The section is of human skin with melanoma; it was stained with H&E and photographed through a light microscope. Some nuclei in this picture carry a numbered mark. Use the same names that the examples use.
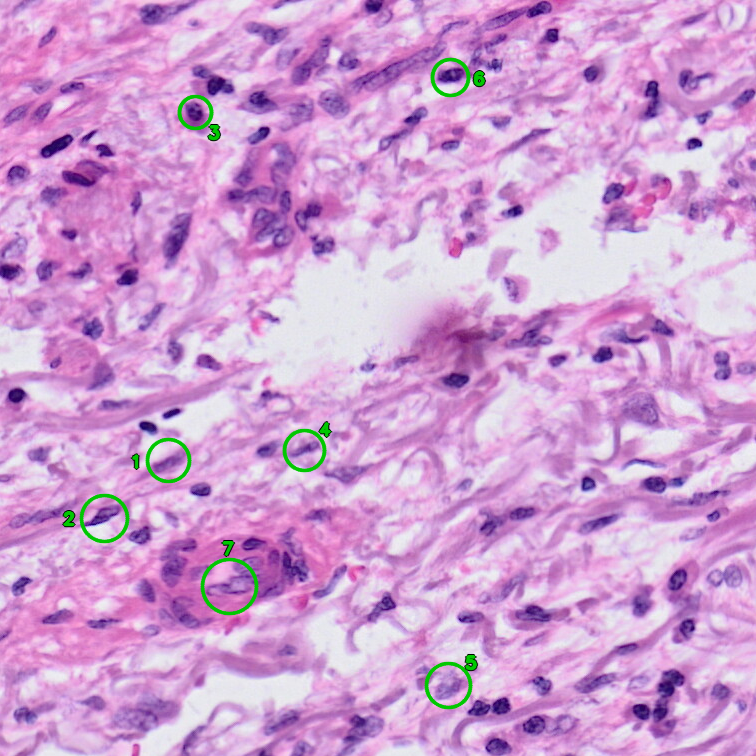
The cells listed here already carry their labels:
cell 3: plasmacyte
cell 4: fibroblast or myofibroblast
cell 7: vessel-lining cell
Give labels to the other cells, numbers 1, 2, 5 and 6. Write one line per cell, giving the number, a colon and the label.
1: fibroblast or myofibroblast
2: fibroblast or myofibroblast
5: fibroblast or myofibroblast
6: plasmacyte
